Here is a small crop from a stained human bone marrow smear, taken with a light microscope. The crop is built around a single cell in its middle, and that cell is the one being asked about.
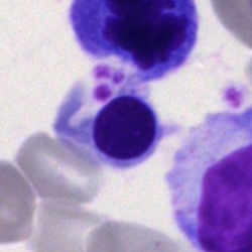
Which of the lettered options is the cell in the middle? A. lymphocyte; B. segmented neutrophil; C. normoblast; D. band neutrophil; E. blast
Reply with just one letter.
C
